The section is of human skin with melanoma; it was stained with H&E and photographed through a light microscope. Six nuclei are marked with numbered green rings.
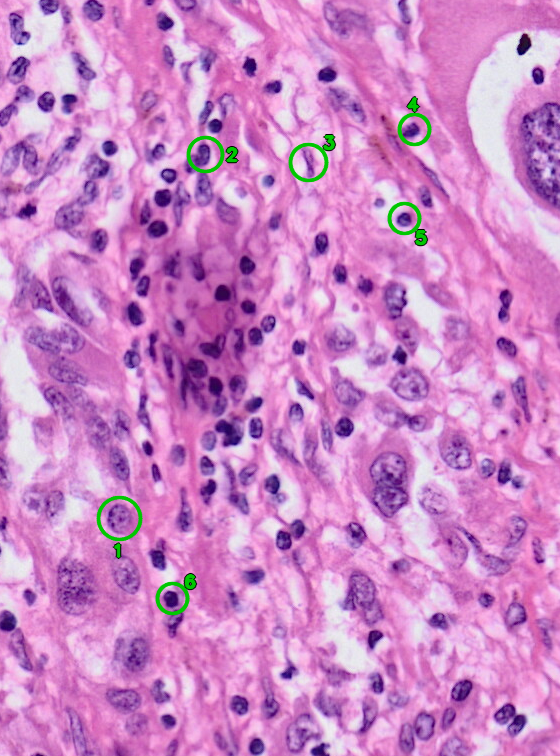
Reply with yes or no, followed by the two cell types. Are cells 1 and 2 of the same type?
No, cell 1 is a melanoma cell and cell 2 is a lymphocyte.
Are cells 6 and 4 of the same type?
Yes, both are lymphocytes.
